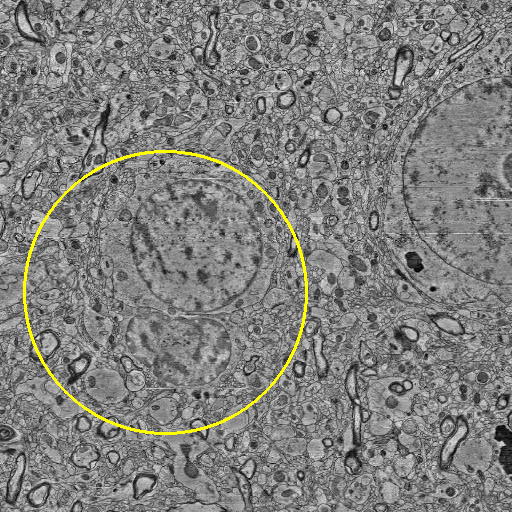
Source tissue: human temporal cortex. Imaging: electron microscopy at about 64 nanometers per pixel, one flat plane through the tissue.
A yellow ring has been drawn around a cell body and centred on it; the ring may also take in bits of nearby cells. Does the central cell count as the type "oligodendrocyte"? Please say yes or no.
no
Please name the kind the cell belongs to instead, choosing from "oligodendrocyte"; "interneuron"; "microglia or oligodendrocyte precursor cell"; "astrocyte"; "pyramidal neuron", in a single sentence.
The ring's central cell is an interneuron instead.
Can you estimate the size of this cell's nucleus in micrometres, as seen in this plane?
About 8 micrometers across, in this plane.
